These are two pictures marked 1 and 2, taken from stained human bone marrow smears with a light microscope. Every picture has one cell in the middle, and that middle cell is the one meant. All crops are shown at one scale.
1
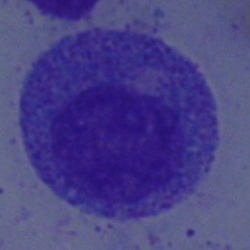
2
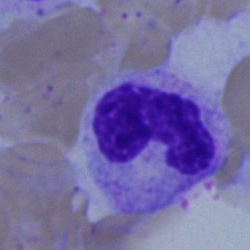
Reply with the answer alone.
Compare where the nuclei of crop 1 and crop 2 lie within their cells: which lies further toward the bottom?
1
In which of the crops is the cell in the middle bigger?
1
